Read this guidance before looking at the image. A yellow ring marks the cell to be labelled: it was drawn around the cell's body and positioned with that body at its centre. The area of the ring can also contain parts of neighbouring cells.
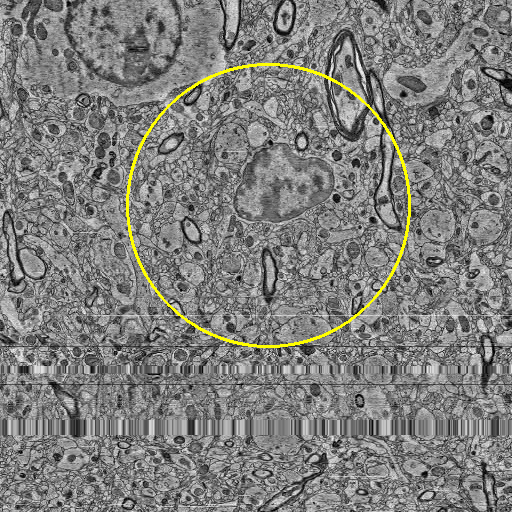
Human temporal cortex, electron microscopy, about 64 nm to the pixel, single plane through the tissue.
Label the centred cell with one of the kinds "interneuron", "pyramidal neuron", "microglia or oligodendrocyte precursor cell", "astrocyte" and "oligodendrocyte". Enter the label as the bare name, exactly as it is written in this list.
microglia or oligodendrocyte precursor cell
